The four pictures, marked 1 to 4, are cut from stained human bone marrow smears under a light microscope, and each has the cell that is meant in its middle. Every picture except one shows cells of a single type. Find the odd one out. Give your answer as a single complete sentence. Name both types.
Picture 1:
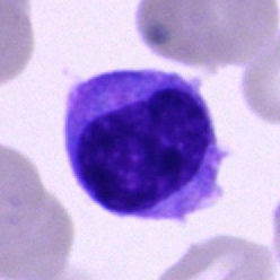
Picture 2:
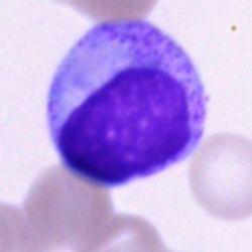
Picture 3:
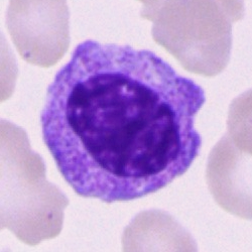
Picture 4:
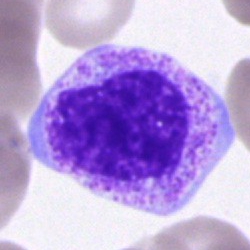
Unlike the rest, which show myelocytes, picture 1 shows a monocyte.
